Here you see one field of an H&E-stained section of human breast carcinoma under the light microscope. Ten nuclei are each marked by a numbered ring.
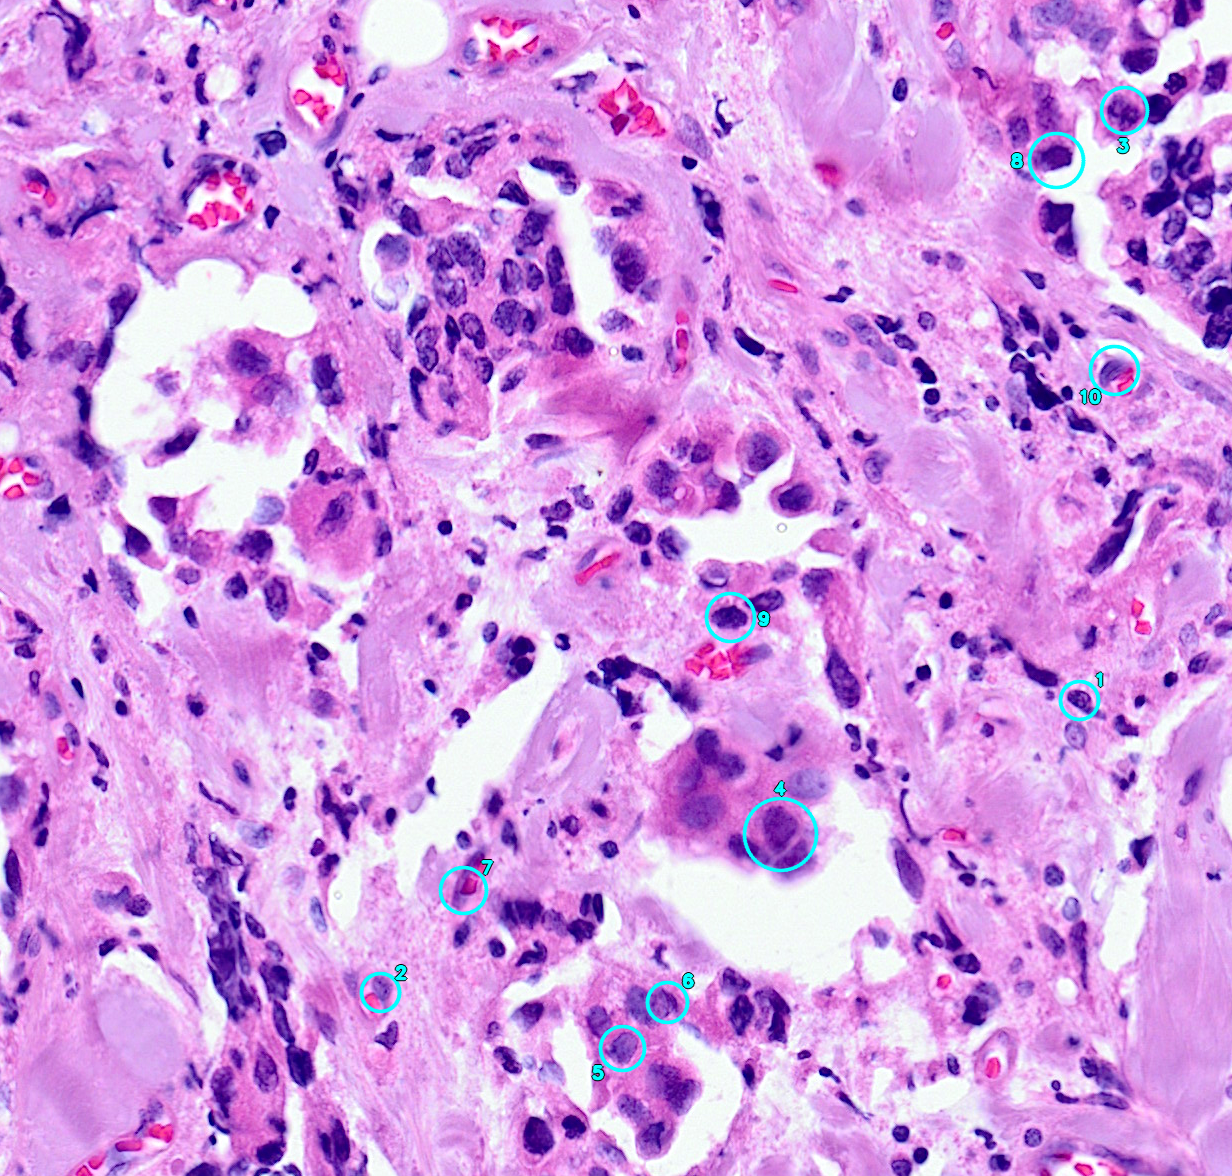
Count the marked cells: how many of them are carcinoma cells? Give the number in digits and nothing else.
6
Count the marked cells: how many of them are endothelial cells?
3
